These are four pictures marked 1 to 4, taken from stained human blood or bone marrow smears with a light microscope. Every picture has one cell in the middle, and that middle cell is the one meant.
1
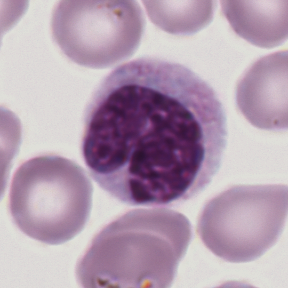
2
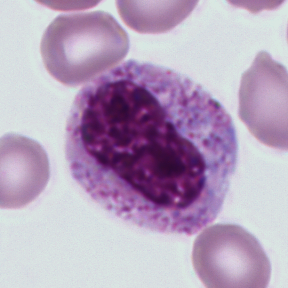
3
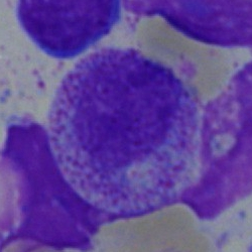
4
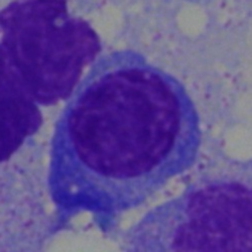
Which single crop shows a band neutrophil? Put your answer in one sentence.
Identified crop: 1, the one that shows a band neutrophil.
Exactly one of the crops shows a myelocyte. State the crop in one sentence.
The one showing a myelocyte is crop 3.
